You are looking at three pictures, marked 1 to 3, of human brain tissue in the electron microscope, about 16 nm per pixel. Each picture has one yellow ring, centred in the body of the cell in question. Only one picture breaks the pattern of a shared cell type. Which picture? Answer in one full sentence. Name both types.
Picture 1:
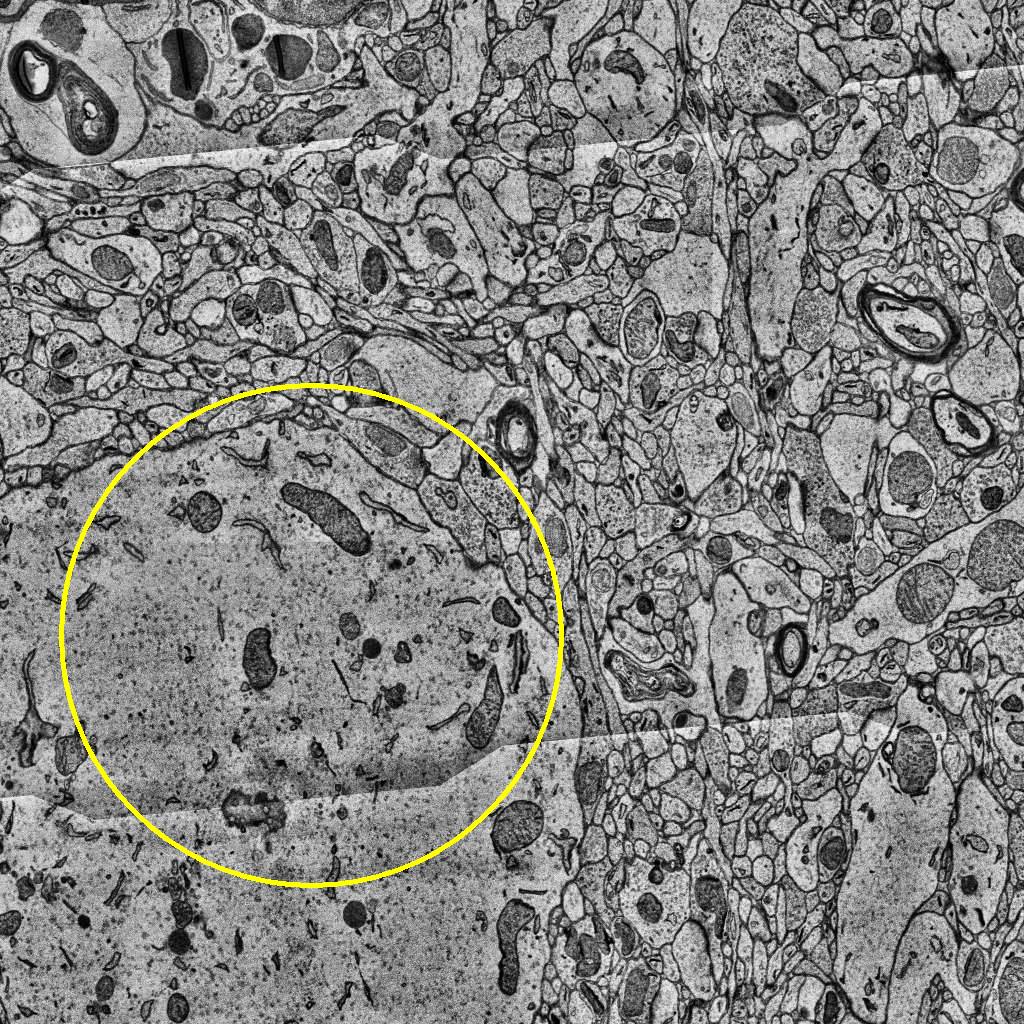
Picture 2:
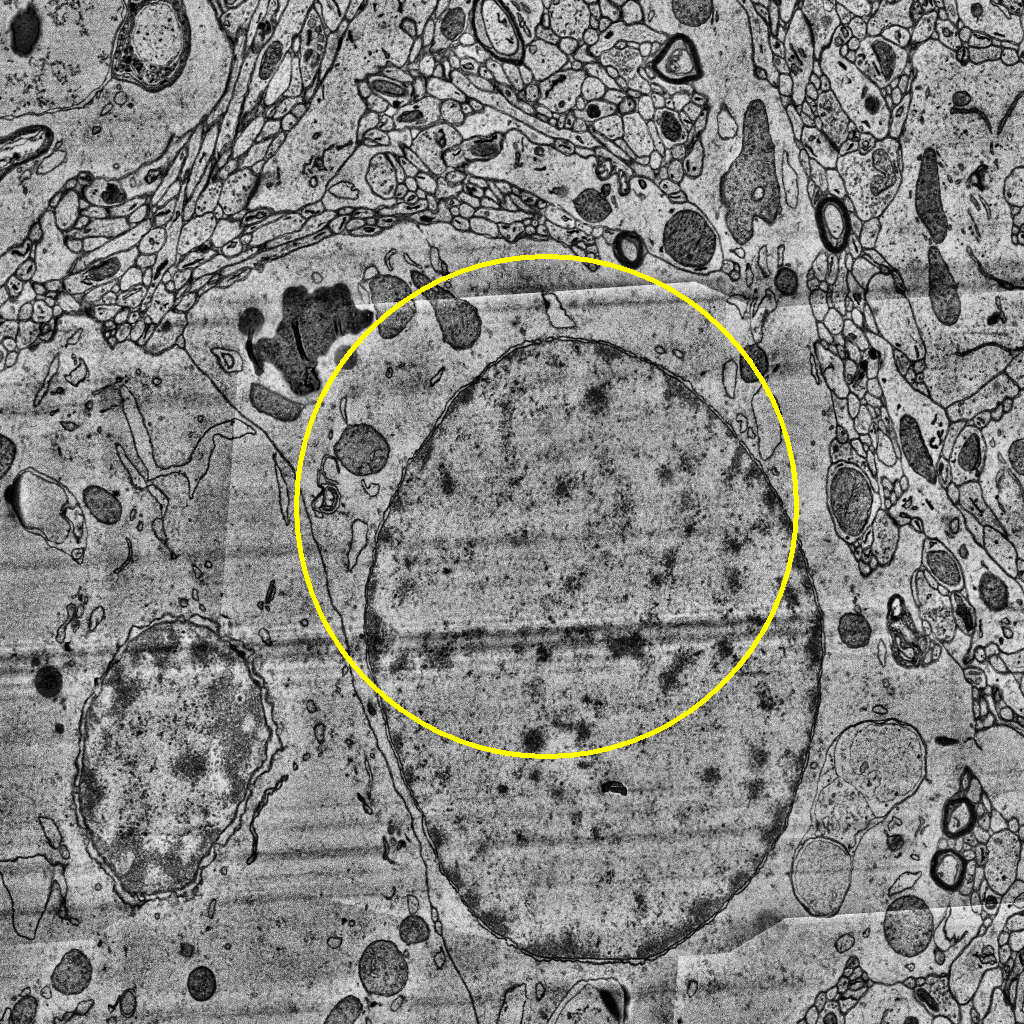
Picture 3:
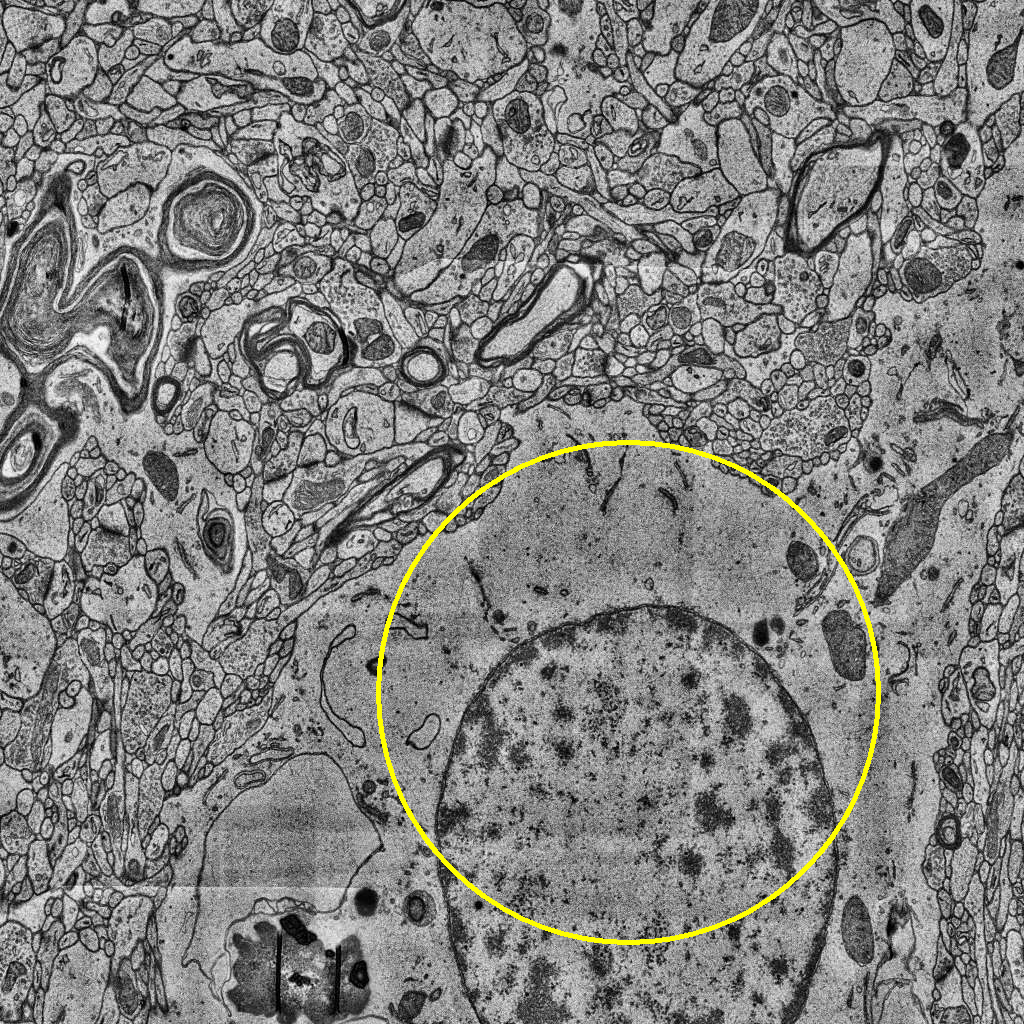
The others show astrocytes, but picture 1 shows a pyramidal neuron.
